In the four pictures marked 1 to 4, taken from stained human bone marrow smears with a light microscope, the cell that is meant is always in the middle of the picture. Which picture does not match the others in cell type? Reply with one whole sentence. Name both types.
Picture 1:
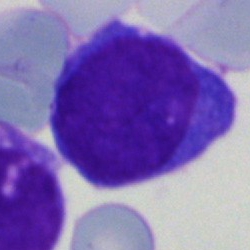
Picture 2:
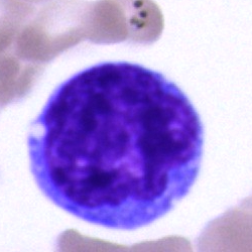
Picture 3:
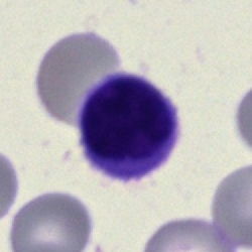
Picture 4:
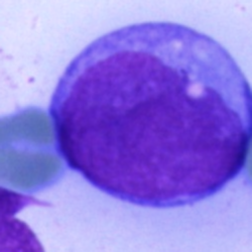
The different one is picture 3; it shows a lymphocyte, whereas all the others show blasts.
